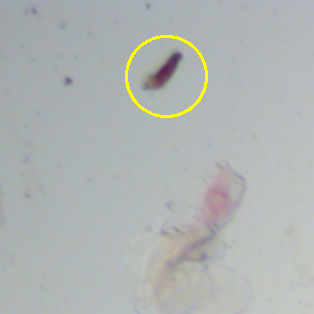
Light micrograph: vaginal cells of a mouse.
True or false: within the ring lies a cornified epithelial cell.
True: a cornified epithelial cell lies within the ring.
